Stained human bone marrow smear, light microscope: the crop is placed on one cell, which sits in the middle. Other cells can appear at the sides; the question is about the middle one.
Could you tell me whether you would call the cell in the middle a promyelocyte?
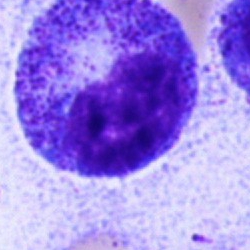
yes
